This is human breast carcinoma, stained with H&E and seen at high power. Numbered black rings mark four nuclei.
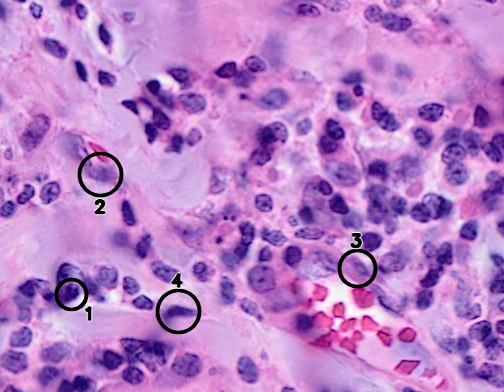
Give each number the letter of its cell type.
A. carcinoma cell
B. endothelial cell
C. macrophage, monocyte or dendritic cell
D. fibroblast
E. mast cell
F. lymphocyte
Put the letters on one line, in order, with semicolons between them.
F; B; B; F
